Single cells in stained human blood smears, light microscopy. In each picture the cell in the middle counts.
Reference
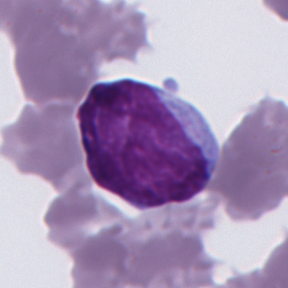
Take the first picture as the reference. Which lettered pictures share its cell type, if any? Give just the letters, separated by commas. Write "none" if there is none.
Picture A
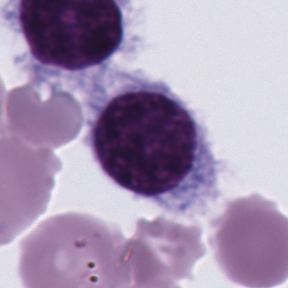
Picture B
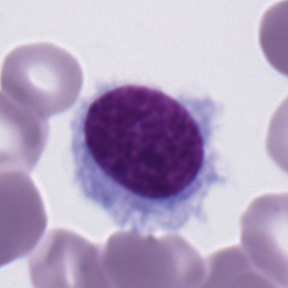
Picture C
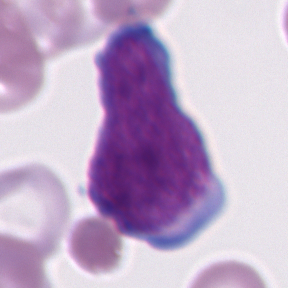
C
